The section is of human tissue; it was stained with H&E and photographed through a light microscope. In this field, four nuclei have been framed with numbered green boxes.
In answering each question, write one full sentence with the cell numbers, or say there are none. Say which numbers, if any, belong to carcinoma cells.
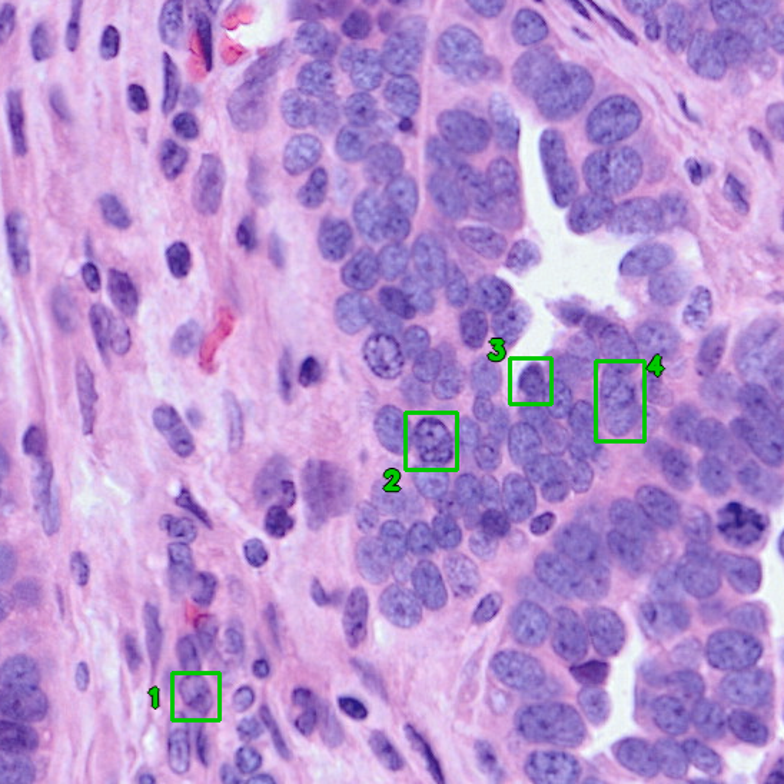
Classified as carcinoma cells are the cells numbered 2, 3 and 4.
